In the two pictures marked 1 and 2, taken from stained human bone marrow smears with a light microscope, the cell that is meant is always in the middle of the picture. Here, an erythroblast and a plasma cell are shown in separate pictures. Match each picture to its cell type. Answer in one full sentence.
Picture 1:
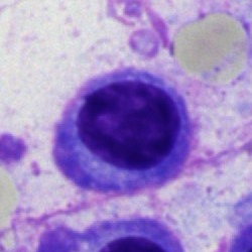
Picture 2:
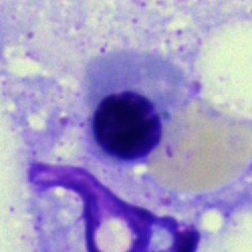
Picture 1 is of a plasma cell, and picture 2 is of an erythroblast.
